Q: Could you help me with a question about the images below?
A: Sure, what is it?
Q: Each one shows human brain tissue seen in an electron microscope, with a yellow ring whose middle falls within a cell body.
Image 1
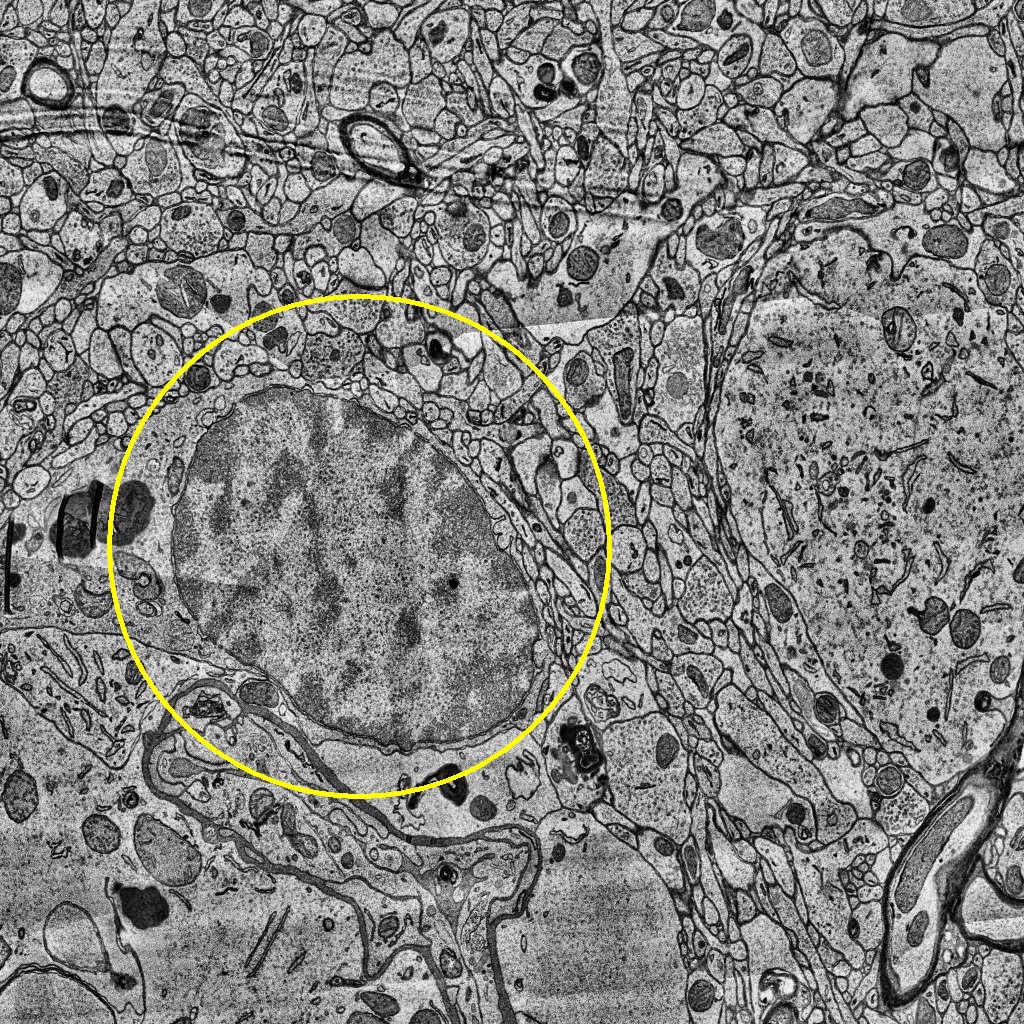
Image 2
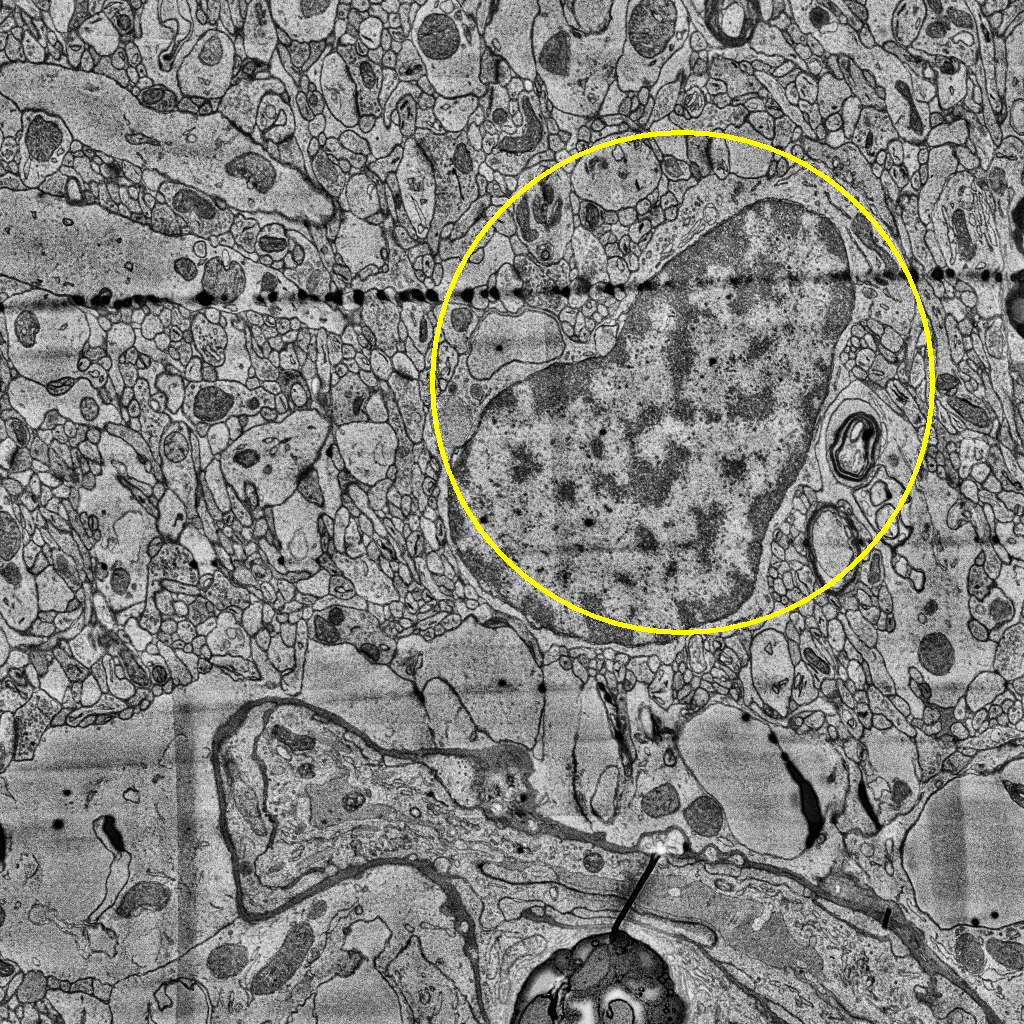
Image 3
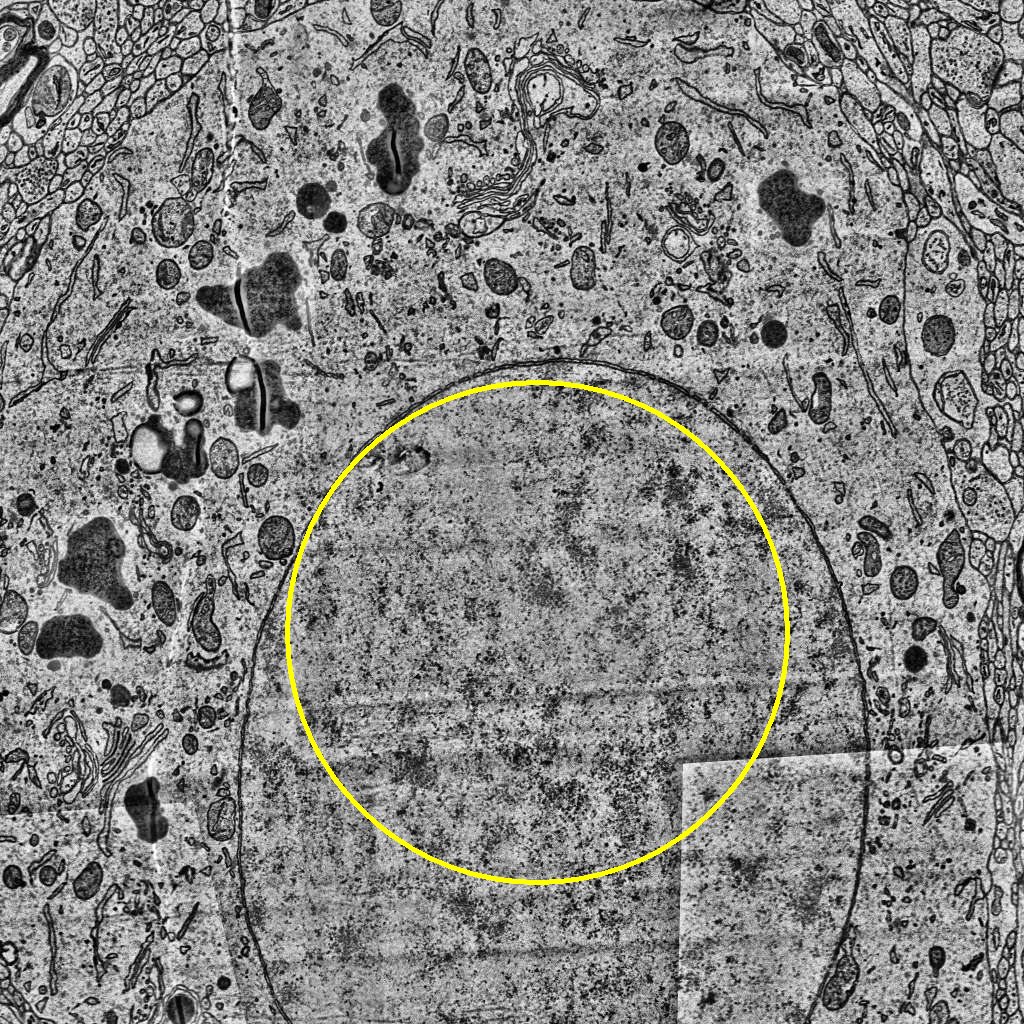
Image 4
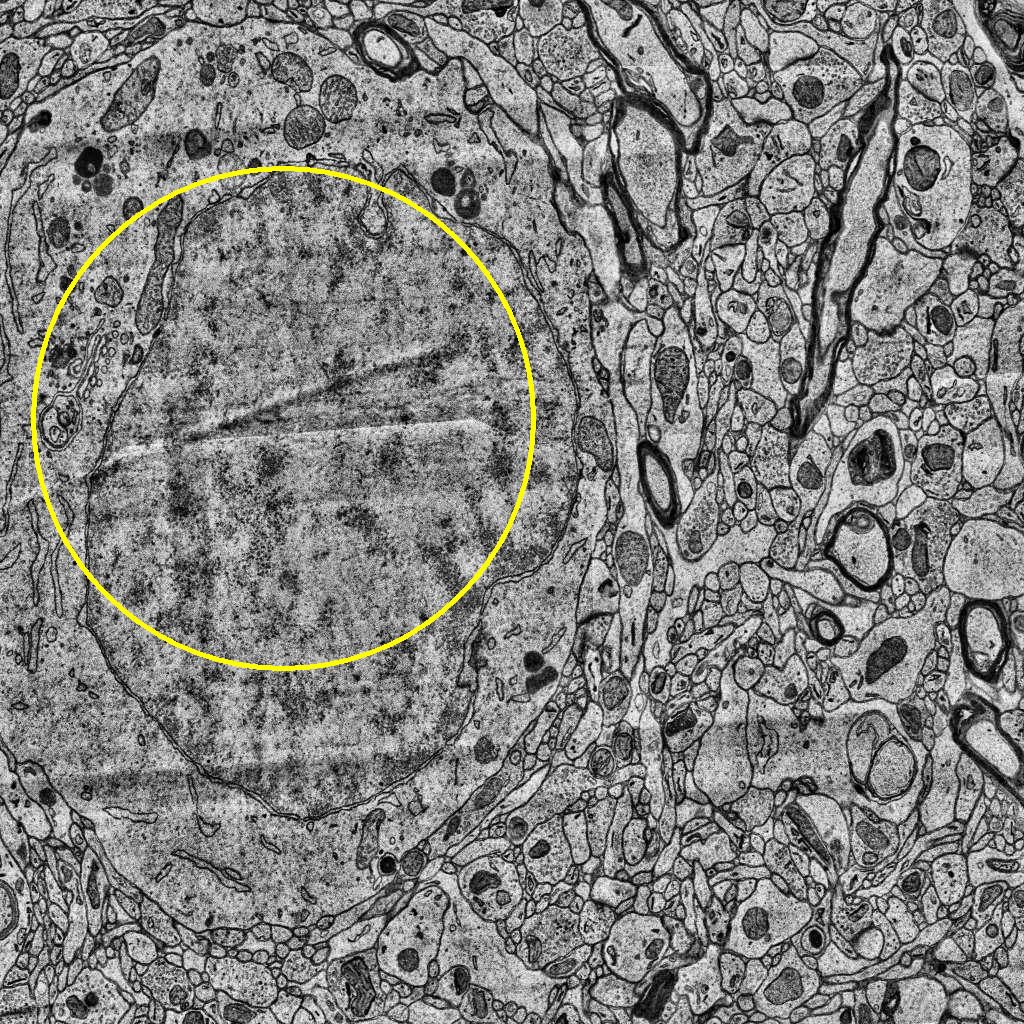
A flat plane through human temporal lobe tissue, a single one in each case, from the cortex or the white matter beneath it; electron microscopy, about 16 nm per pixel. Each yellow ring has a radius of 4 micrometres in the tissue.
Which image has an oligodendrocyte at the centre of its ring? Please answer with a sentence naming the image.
Image 1 has it at the centre of its ring.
